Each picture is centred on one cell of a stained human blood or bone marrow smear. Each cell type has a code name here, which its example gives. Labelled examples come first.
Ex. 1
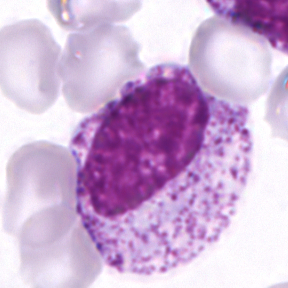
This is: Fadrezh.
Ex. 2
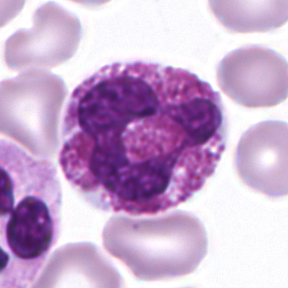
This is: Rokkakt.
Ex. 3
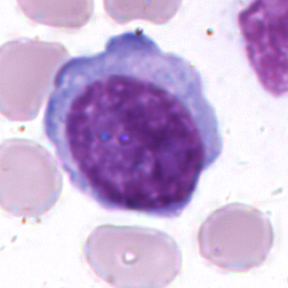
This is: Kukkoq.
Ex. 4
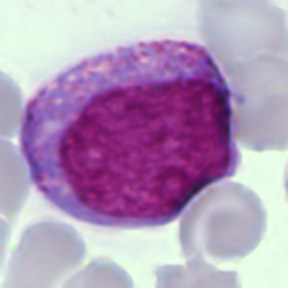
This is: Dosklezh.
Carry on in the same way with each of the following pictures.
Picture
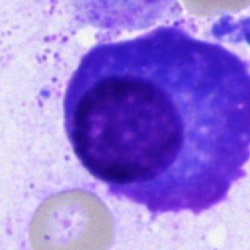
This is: Kukkoq.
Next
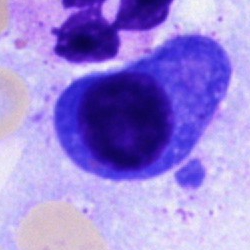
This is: Kukkoq.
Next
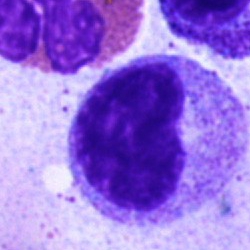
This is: Fadrezh.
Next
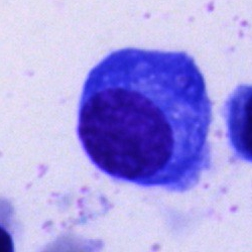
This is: Kukkoq.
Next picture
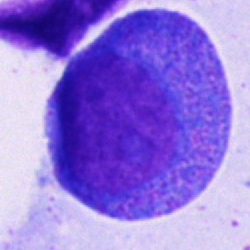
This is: Dosklezh.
